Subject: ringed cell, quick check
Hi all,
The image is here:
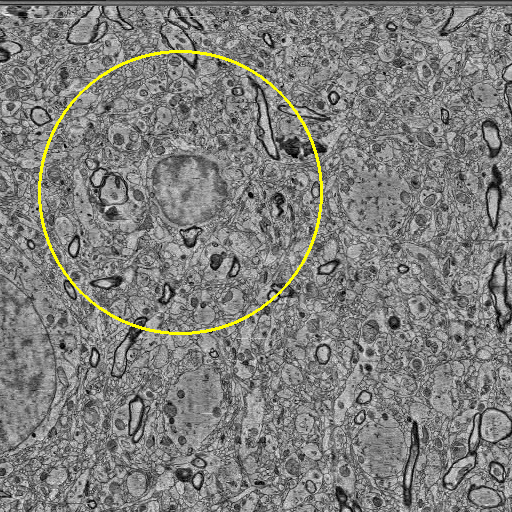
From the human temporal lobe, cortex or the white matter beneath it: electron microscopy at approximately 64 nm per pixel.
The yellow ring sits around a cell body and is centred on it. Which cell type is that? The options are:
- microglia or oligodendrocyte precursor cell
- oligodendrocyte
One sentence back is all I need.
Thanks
That ringed cell is an oligodendrocyte.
